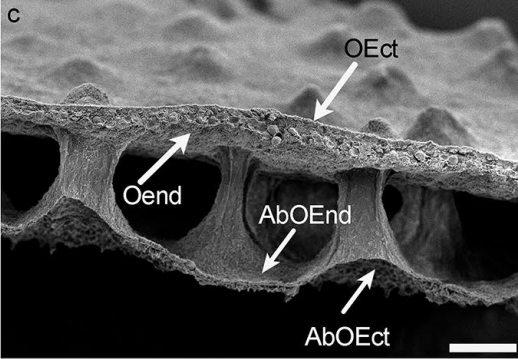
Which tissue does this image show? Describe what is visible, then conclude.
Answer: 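Coenosarc. Two thin tissue sheets run parallel, one above the other. The sheets are separated by large open cavities and joined by column-like bridges.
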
